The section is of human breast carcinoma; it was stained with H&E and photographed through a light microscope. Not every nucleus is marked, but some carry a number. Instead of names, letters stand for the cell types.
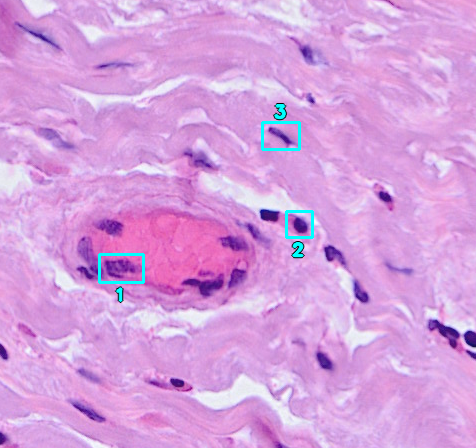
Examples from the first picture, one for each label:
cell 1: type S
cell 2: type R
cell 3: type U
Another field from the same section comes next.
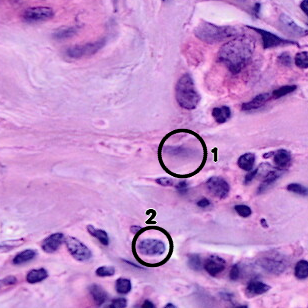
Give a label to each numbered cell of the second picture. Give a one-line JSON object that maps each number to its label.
{"1": "type U", "2": "type R"}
